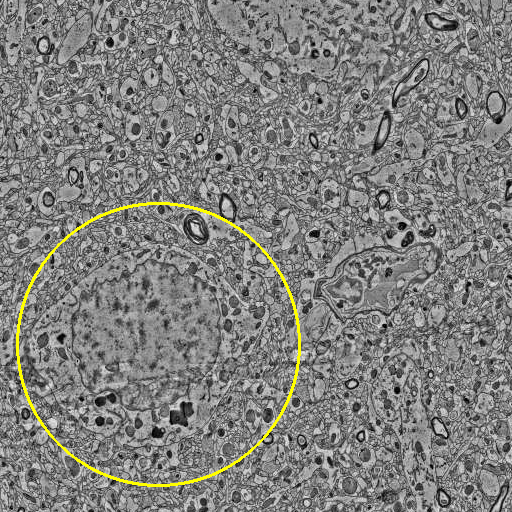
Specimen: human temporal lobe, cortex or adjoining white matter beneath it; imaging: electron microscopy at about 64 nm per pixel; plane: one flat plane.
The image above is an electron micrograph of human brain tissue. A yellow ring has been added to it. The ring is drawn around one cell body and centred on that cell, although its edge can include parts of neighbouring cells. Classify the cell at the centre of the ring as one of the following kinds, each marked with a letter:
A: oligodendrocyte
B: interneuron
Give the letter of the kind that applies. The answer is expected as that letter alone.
B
